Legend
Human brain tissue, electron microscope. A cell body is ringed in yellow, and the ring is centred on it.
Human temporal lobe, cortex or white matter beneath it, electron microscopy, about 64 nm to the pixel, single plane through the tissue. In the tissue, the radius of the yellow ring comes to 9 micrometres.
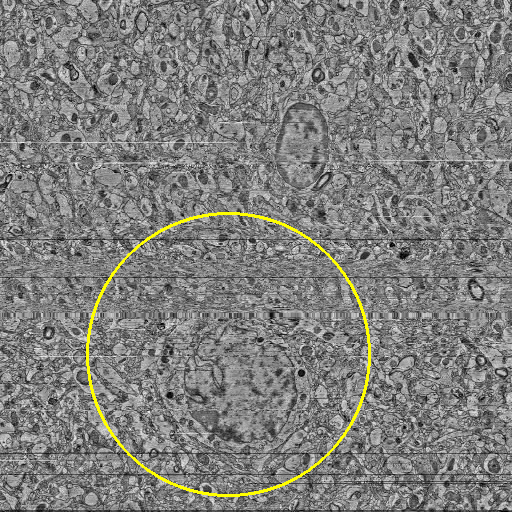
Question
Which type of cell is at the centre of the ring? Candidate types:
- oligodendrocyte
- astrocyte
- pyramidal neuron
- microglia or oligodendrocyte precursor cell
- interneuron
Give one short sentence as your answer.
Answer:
The yellow ring is centred here on an interneuron.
